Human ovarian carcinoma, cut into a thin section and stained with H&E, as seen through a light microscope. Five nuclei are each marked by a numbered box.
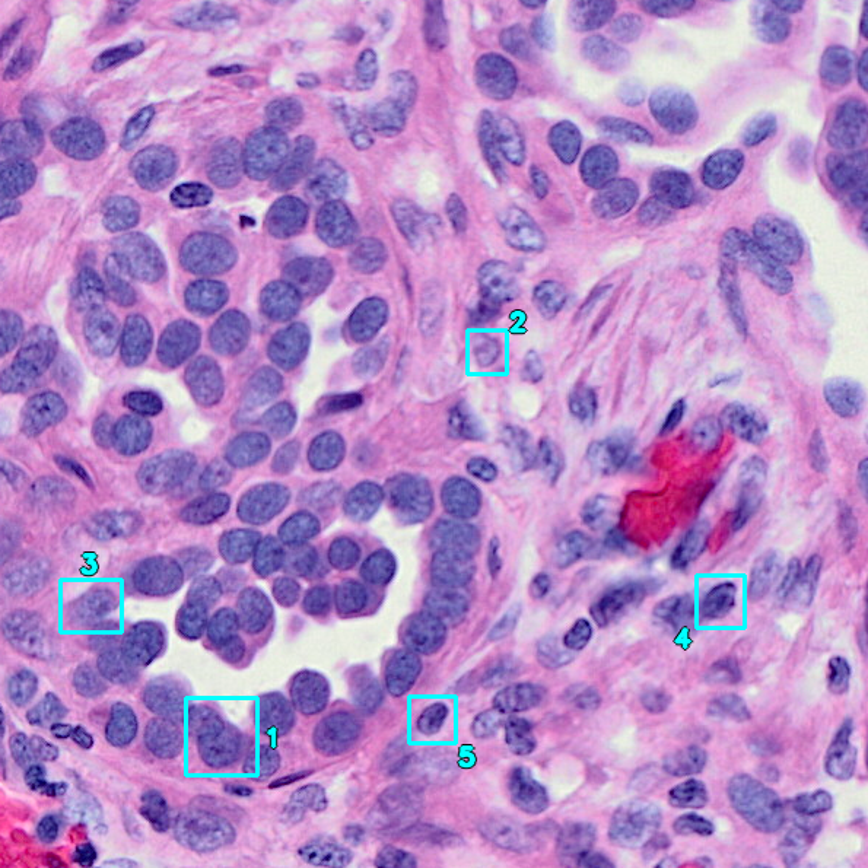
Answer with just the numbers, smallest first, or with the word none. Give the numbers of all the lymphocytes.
4, 5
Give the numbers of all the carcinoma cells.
1, 3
